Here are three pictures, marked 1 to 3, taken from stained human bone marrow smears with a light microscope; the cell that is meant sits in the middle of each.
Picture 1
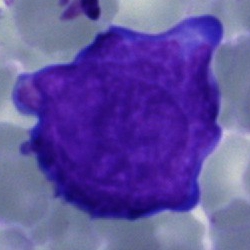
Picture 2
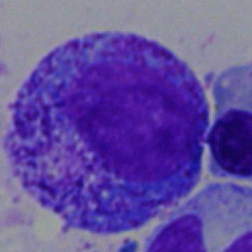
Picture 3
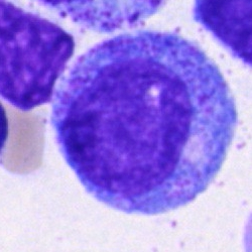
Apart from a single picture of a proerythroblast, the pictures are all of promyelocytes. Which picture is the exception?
1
